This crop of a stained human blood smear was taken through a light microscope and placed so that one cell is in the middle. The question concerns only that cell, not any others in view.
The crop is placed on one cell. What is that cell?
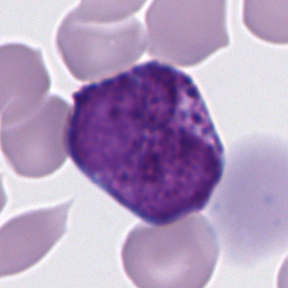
basophil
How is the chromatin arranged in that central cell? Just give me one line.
The chromatin is delicate and fine, lacking coarse clumping entirely.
